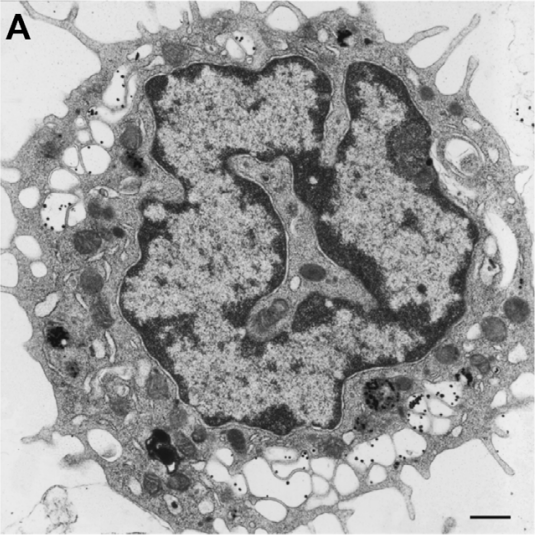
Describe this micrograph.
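A macrophage is seen in section, with a large nucleus surrounded by a rim of cytoplasm and an irregular surface bearing many slender projections. The nucleus has finely granular chromatin with darker heterochromatin lining the nuclear envelope. A deep, branching infolding of the nuclear envelope runs into the centre of the nucleus and holds cytoplasm, including a mitochondrion. The cytoplasm contains many clear vacuoles, several with small dark particles, together with mitochondria and dense heterogeneous inclusions.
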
